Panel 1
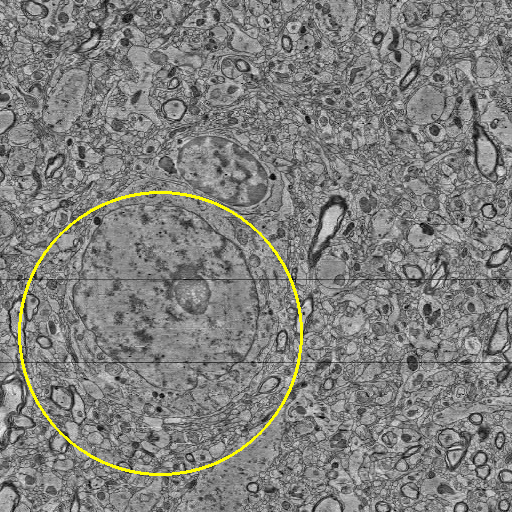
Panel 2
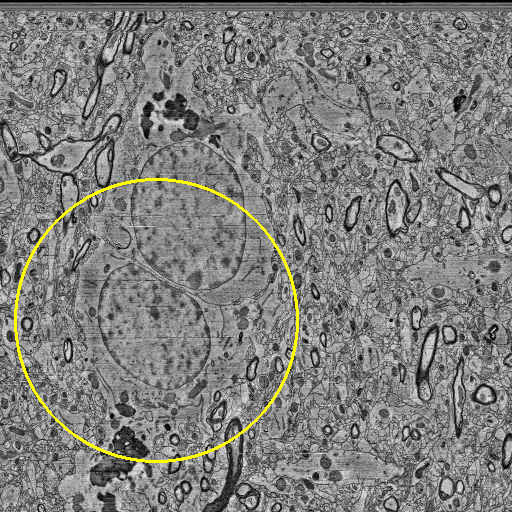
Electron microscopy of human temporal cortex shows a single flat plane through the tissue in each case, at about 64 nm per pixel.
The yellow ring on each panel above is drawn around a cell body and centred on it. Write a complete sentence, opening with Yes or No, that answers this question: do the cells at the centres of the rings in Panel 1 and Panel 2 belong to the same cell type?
No, the two cells belong to two cell types.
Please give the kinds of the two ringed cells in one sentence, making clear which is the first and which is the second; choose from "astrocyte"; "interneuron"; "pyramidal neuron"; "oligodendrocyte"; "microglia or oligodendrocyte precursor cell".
In the second picture the ringed cell is an astrocyte; in the first it is a pyramidal neuron.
